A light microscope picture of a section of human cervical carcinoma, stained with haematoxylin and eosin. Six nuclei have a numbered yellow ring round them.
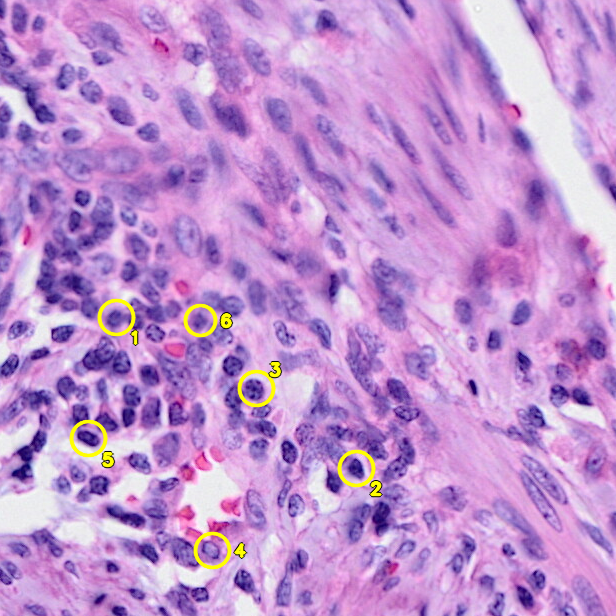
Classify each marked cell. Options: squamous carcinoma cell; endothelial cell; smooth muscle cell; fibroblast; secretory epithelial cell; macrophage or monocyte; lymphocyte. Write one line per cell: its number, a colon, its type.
1: lymphocyte
2: lymphocyte
3: lymphocyte
4: endothelial cell
5: lymphocyte
6: endothelial cell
